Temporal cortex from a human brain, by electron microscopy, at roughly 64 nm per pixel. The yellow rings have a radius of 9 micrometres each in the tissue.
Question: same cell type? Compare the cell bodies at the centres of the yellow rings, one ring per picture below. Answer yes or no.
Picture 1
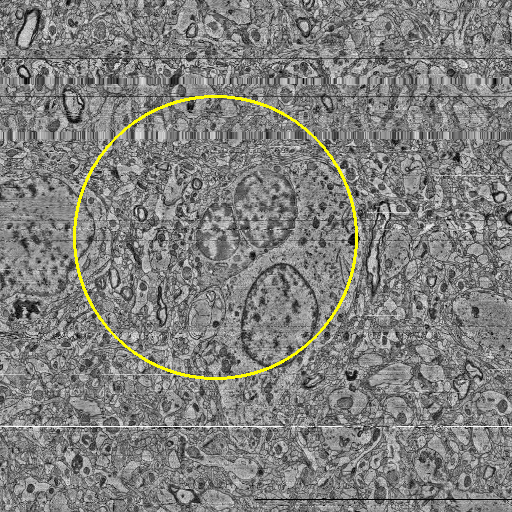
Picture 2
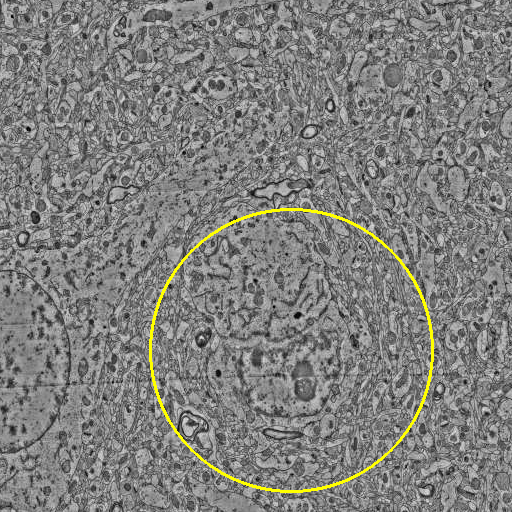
no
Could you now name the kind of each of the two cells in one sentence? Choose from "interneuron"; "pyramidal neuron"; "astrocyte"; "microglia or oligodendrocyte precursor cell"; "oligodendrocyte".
The first ring encloses an oligodendrocyte; the second ring encloses an interneuron.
